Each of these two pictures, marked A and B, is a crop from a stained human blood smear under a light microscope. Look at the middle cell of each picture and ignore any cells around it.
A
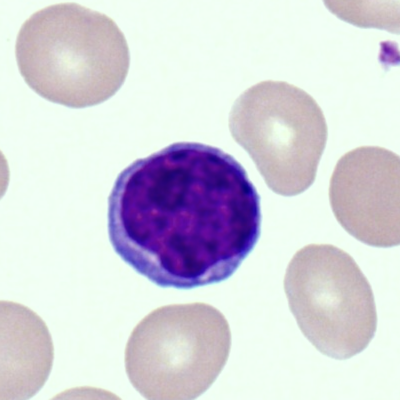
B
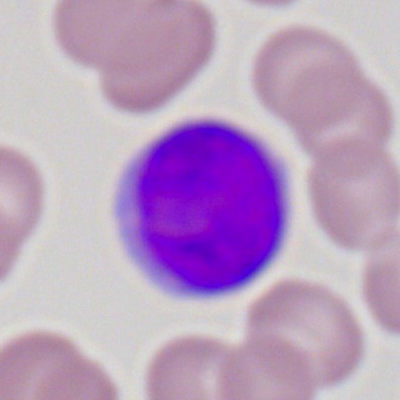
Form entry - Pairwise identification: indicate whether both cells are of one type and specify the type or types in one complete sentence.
No, crop A presents a lymphocyte, whereas crop B presents a blast.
